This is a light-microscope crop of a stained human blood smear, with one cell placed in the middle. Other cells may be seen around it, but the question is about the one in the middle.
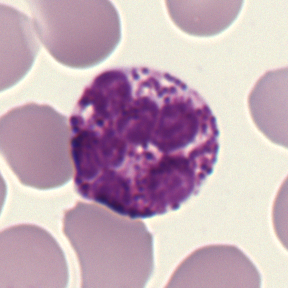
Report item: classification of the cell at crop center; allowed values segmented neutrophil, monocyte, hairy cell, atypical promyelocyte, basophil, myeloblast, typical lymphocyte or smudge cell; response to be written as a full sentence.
In the center of this field lies a basophil.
